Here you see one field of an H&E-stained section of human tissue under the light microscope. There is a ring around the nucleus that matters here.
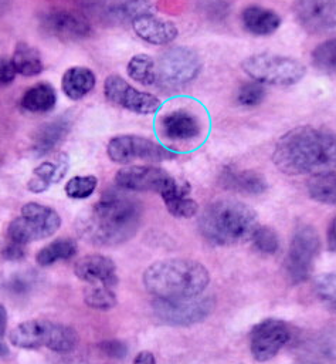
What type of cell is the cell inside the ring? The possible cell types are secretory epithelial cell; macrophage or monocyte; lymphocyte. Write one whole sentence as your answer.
On this particular slide, the cell inside the ring is a lymphocyte.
